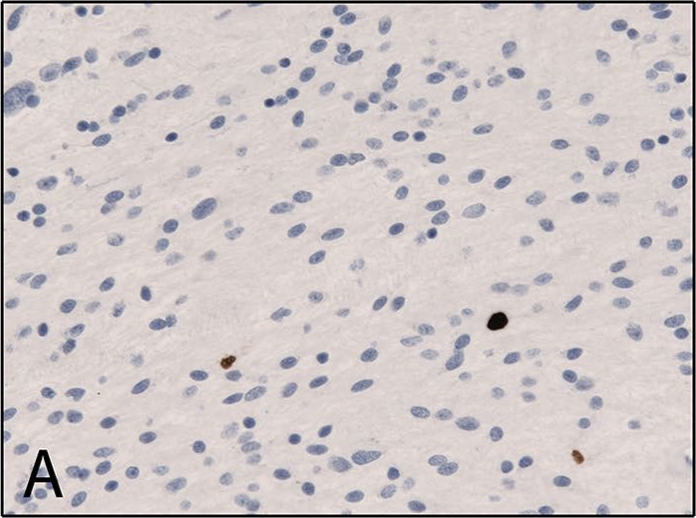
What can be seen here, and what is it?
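This is a fairly cellular tumour tissue with many oval to elongated blue nuclei set in a pale, finely fibrillary background, loosely aligned in one direction. The nuclei are fairly uniform in size, with little visible cytoplasm around them.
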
